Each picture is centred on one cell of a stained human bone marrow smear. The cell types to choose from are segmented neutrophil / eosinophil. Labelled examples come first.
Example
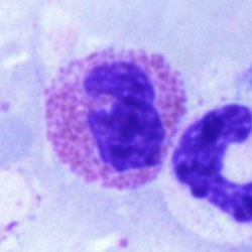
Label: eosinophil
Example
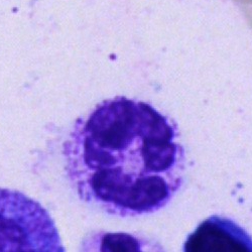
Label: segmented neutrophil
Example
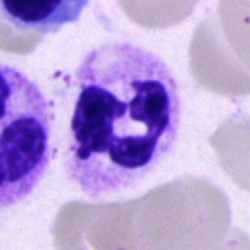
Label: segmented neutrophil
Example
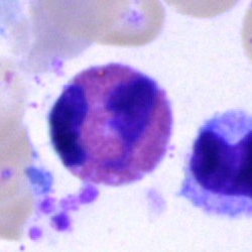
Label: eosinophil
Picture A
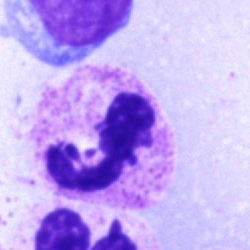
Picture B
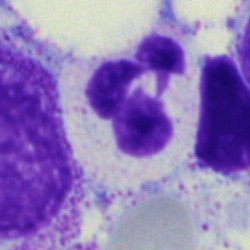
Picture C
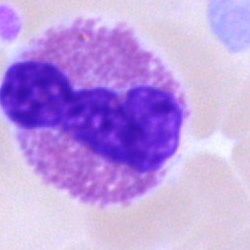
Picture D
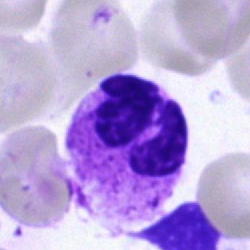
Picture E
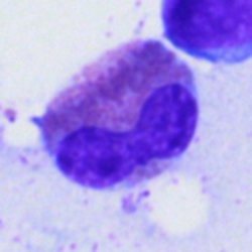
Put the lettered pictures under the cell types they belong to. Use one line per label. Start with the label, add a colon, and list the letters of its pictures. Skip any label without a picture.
segmented neutrophil: A, B, D
eosinophil: C, E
